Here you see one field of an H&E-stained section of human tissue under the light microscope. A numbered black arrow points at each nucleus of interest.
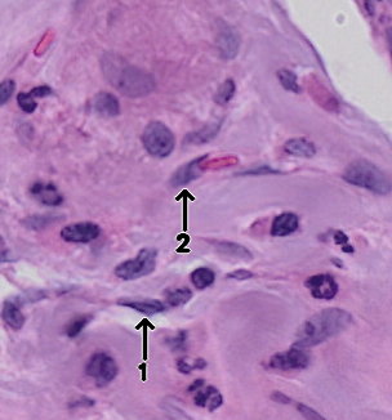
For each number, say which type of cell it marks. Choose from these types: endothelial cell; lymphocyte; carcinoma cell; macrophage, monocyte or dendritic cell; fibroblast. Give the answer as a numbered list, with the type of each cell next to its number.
1. fibroblast
2. endothelial cell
